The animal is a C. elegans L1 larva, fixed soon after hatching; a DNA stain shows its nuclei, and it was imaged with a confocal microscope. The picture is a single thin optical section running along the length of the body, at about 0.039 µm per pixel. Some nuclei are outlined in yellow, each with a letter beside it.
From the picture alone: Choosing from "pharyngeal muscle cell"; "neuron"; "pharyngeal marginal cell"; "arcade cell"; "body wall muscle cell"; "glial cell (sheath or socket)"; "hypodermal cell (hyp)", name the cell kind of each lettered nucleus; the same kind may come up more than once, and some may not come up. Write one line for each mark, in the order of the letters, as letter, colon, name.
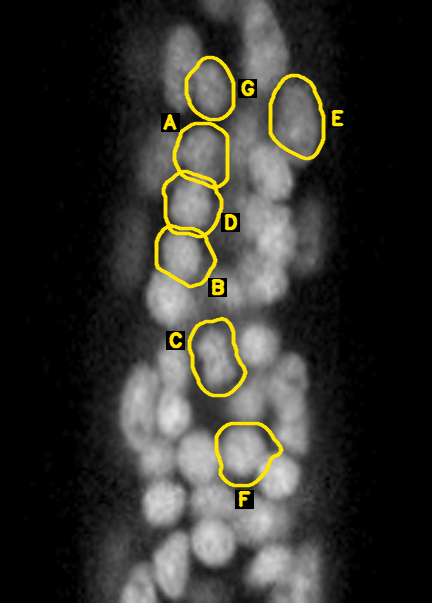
A: glial cell (sheath or socket)
B: hypodermal cell (hyp)
C: pharyngeal muscle cell
D: arcade cell
E: body wall muscle cell
F: neuron
G: hypodermal cell (hyp)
